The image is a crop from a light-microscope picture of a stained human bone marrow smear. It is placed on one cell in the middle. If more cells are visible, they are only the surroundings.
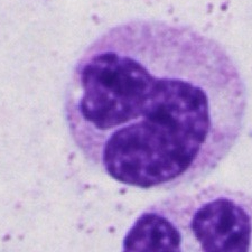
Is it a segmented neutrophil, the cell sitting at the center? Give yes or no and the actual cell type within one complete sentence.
No, the cell in the centre is a band neutrophil instead of a segmented neutrophil.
